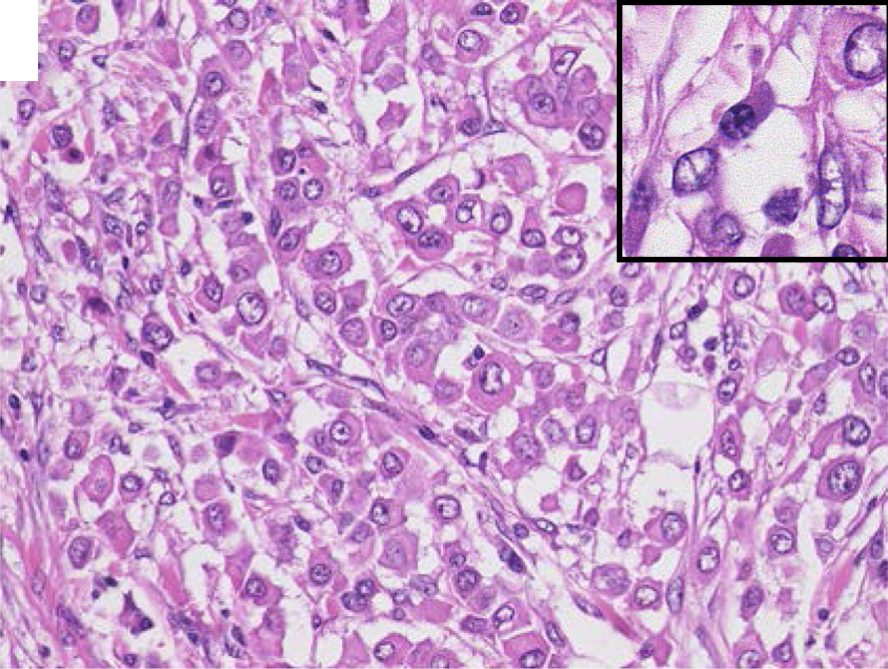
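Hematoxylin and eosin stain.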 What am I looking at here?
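The nuclei are enlarged, with vesicular chromatin and distinct nucleoli, and they are unevenly spaced across the field. Thin strands of pink stroma and pale, loose spaces run between the scattered cells. The framed enlargement at the upper right shows a small cell with a dense, dark nucleus, much smaller than the tumour nuclei beside it, which is a true plasma cell lying among them.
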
